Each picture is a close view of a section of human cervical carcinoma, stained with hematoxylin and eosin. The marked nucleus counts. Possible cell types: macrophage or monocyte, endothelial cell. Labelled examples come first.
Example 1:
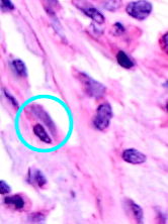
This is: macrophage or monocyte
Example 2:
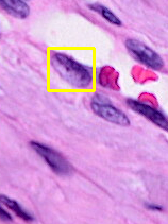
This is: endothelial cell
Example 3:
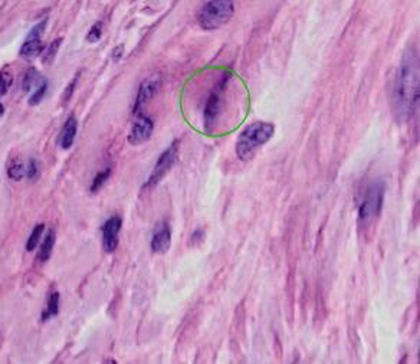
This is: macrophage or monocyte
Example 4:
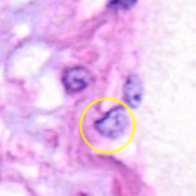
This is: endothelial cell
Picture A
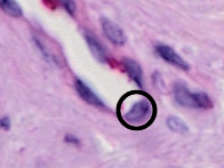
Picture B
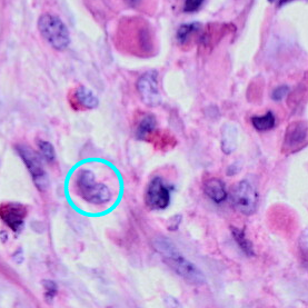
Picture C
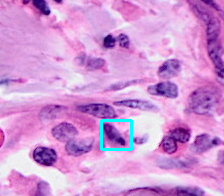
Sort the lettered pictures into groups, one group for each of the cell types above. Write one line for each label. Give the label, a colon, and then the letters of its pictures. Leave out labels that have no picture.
macrophage or monocyte: B, C
endothelial cell: A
